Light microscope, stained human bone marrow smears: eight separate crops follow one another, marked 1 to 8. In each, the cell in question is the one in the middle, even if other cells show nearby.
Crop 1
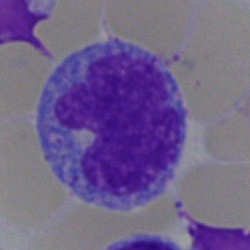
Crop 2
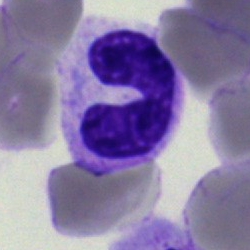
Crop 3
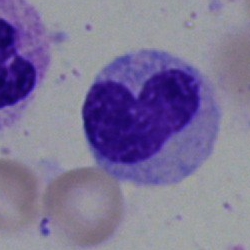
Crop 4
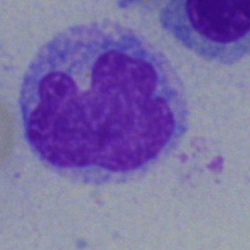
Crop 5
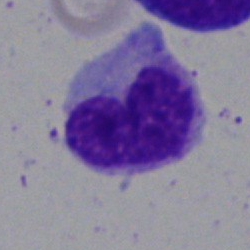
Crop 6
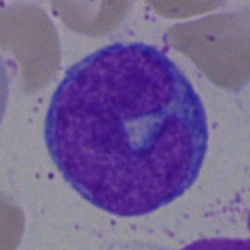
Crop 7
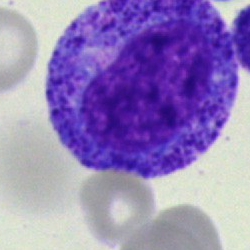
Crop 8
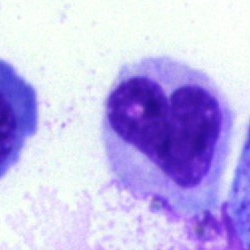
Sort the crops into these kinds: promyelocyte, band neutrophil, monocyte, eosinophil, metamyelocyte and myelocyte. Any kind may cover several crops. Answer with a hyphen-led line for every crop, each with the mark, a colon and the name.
- 1: monocyte
- 2: band neutrophil
- 3: metamyelocyte
- 4: monocyte
- 5: metamyelocyte
- 6: monocyte
- 7: promyelocyte
- 8: band neutrophil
